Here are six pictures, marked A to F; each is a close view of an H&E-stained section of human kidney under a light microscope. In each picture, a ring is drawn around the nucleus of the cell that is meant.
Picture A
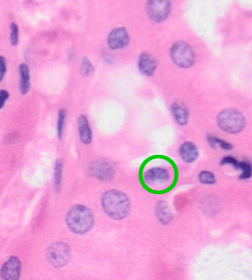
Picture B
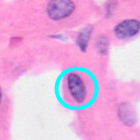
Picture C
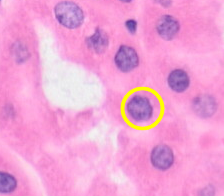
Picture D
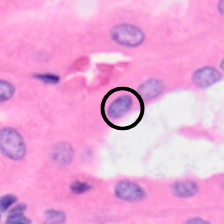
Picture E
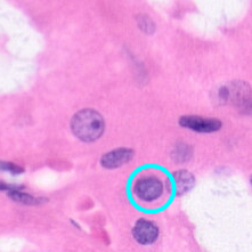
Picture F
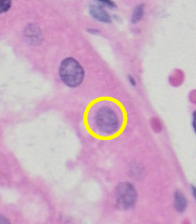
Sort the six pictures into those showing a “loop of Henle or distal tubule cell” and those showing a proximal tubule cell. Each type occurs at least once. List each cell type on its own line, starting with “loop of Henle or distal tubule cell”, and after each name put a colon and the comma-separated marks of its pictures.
loop of Henle or distal tubule cell: A, B, D, E
proximal tubule cell: C, F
